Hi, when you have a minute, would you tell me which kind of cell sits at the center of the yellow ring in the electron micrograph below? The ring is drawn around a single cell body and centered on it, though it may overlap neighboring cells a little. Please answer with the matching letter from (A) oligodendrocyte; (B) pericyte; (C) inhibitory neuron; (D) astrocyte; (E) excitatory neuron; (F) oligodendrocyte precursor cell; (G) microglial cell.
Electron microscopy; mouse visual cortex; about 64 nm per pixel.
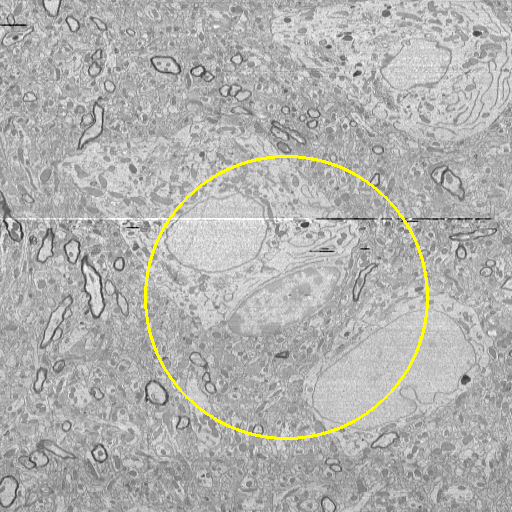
A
